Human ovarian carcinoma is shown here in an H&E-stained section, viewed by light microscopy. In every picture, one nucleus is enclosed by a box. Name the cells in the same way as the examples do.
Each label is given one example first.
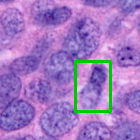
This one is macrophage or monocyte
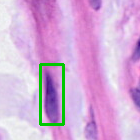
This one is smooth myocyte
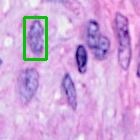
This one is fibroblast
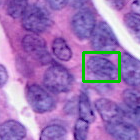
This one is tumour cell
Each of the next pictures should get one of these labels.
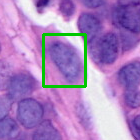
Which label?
tumour cell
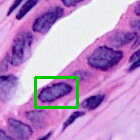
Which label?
tumour cell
